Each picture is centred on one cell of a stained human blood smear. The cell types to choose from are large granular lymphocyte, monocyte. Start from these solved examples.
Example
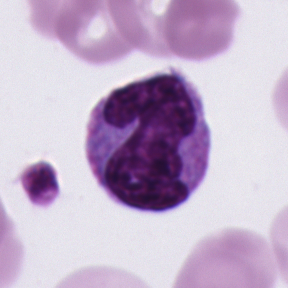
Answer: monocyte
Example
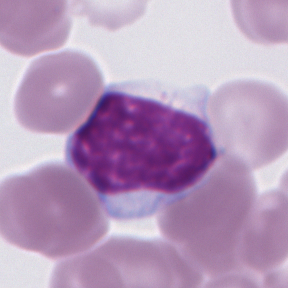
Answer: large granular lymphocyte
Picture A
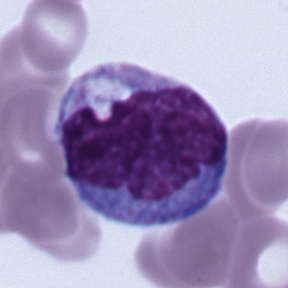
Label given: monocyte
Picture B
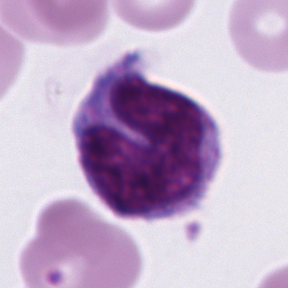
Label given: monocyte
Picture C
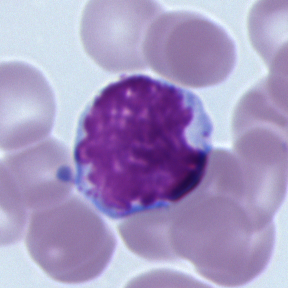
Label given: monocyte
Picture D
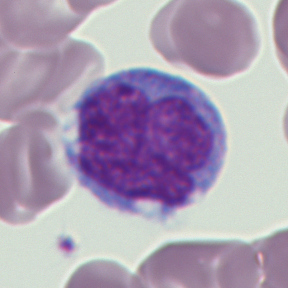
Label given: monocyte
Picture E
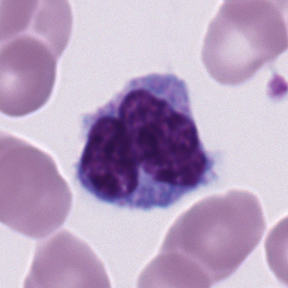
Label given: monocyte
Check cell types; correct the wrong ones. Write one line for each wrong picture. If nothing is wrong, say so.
C: change monocyte to large granular lymphocyte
